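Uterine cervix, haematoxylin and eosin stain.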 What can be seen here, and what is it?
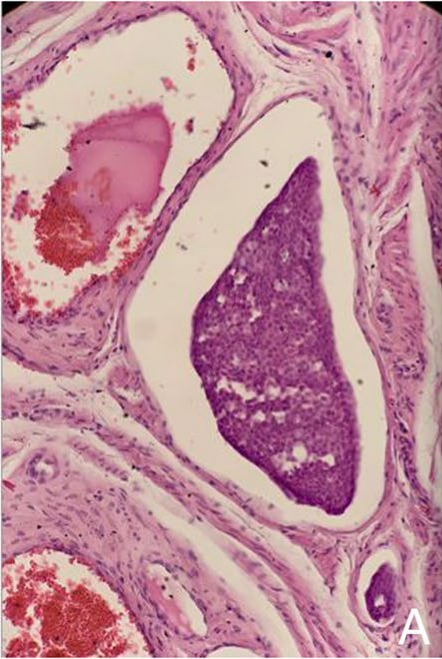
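The aggregate is a solid, deep purple mass of crowded cells with scant, poorly separated cytoplasm and small round to oval nuclei, with a few small clear gaps within it. It floats free in the channel, separated from the lining by a clear space. Adjacent channels contain red blood cells and pink proteinaceous material, and the surrounding stroma is pink and fibrous with spindle-shaped nuclei.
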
